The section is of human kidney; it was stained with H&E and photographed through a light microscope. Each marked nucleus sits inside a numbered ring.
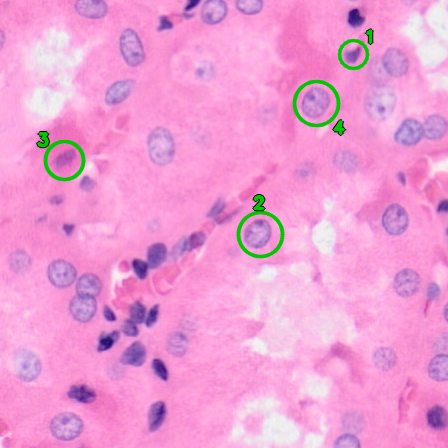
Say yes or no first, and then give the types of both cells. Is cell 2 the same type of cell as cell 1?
No, as for cell 2, it is a proximal tubule cell, and cell 1 is an endothelial cell.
